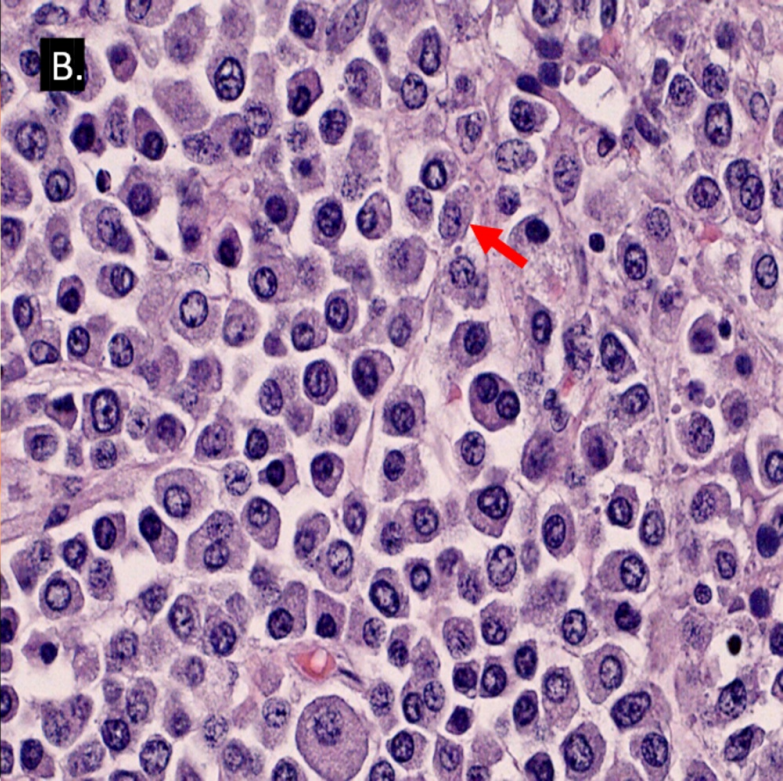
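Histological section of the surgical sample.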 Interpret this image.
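A diffuse sheet of atypical, loosely cohesive, round to oval cells fills the field with no glandular or other organised architecture. Most cells have a large, round nucleus placed off-centre, with coarse chromatin and often a single prominent nucleolus. The cytoplasm is moderate in amount, pale lavender to purple, and sits mostly to one side of the nucleus. Nuclear size varies, and a few much larger cells with big nuclei are scattered among them, along with occasional small dark condensed nuclei. Thin strands of pink stroma and a few red blood cells lie between the cells.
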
